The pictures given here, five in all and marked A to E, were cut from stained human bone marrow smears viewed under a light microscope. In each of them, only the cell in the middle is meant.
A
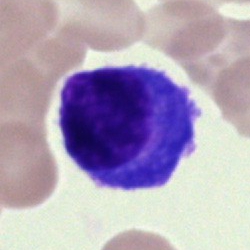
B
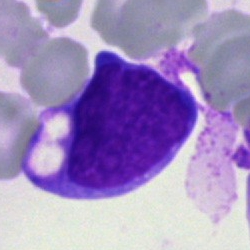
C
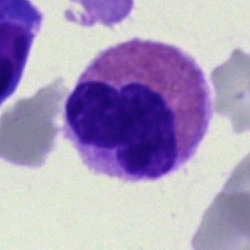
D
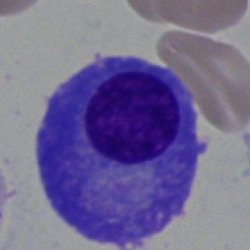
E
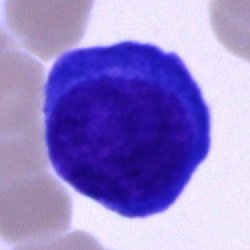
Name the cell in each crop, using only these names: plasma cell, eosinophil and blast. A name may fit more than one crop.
A: plasma cell
B: blast
C: eosinophil
D: plasma cell
E: plasma cell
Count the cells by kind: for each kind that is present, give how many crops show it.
plasma cell: 3
blast: 1
eosinophil: 1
